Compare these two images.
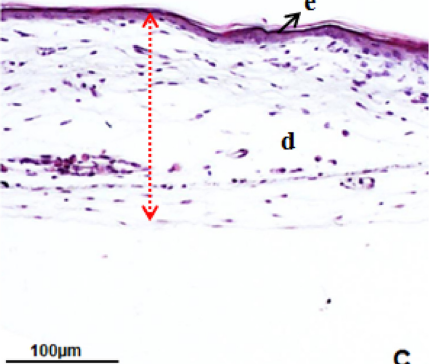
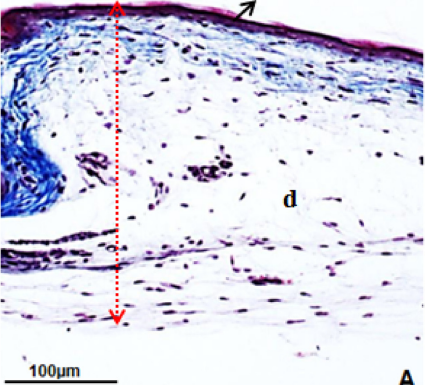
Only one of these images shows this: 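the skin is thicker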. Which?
The second image.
